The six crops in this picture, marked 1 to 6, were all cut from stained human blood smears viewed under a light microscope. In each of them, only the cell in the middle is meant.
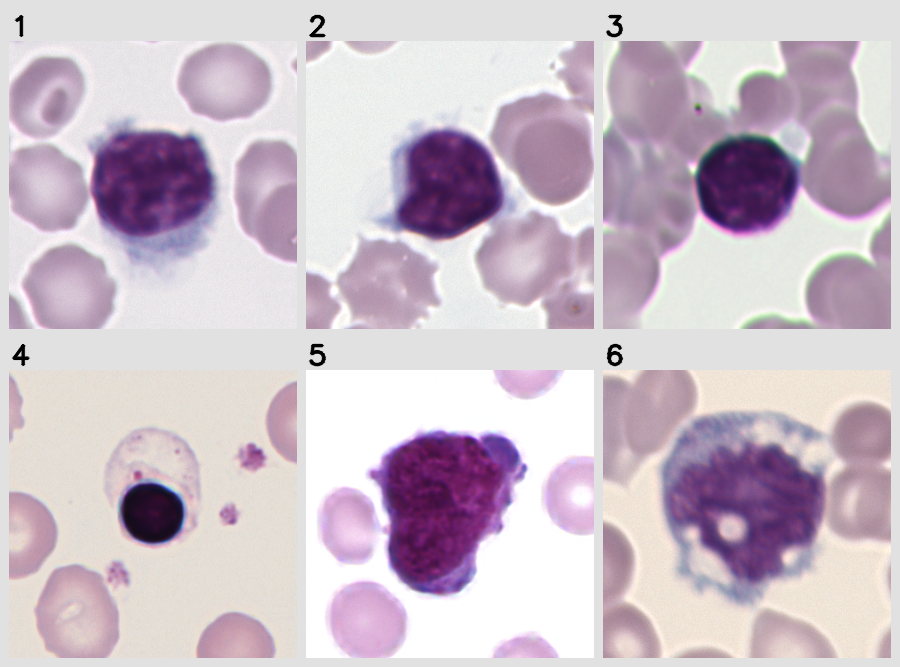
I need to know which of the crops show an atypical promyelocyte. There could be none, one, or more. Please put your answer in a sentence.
Looking across the set, crop 5 alone shows an atypical promyelocyte.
